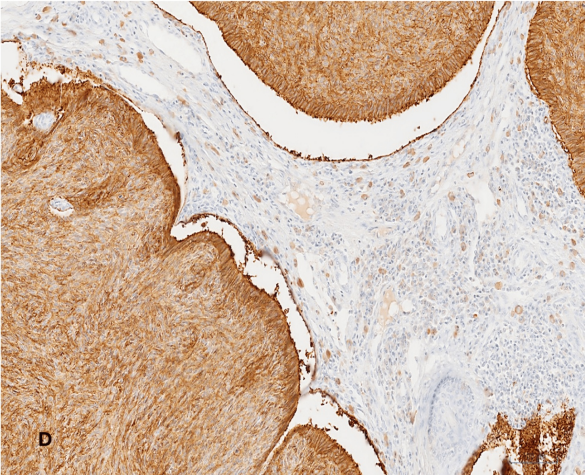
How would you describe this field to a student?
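These are tumor cell nodules, large rounded islands stained evenly brown, set in a pale fibrous stroma. The cells within the nodules are crowded and streaming, too tightly packed to be told apart one by one at this power. Along the edges of the nodules, clear clefts separate the tumor from the stroma, with a darker brown rim at the border.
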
